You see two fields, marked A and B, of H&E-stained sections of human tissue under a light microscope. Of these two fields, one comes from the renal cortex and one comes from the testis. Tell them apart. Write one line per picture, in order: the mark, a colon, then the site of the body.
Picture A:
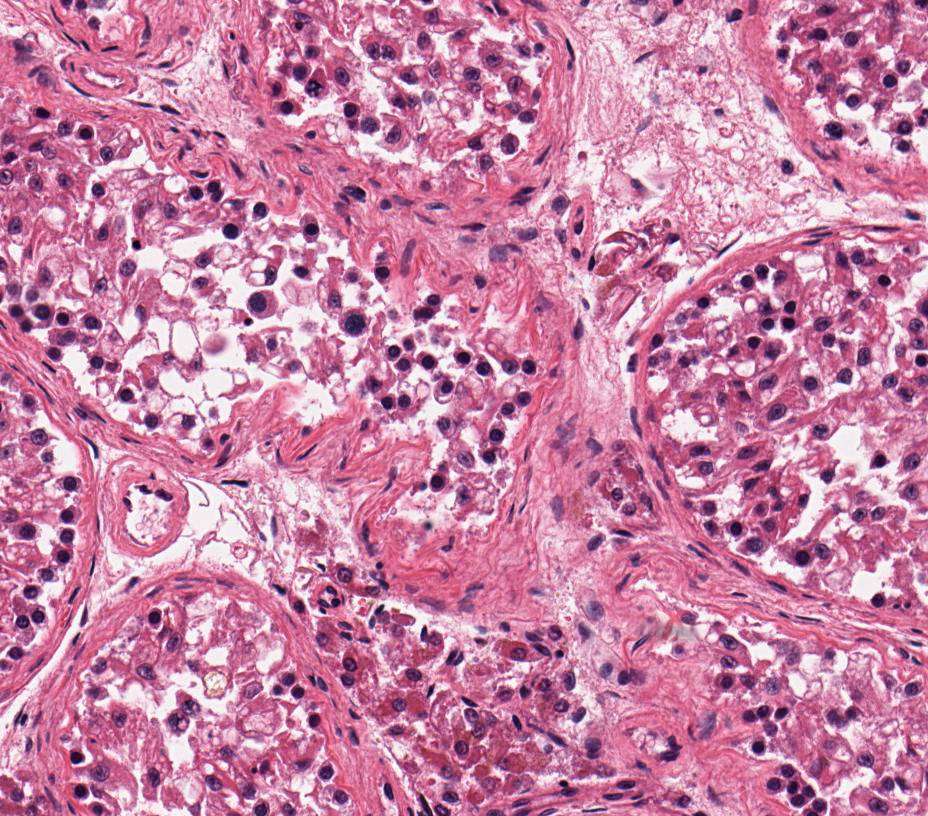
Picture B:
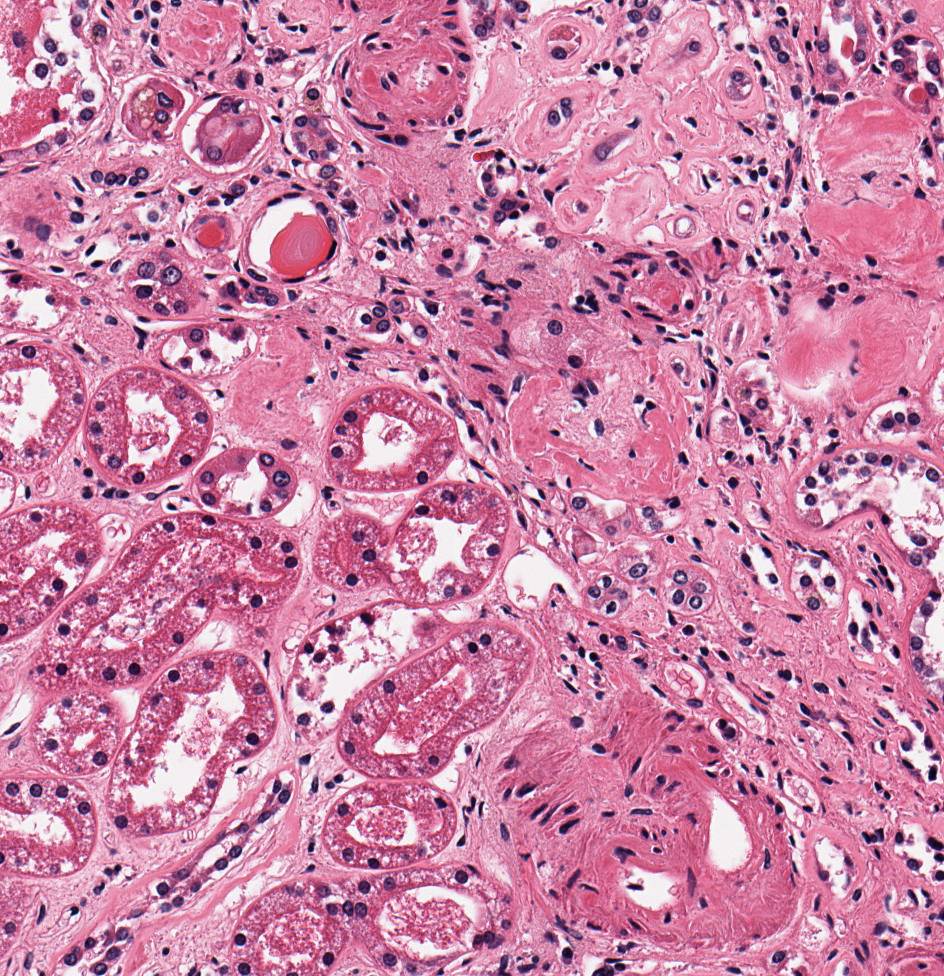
A: testis
B: renal cortex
